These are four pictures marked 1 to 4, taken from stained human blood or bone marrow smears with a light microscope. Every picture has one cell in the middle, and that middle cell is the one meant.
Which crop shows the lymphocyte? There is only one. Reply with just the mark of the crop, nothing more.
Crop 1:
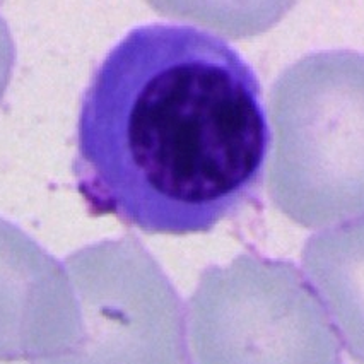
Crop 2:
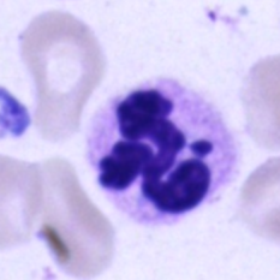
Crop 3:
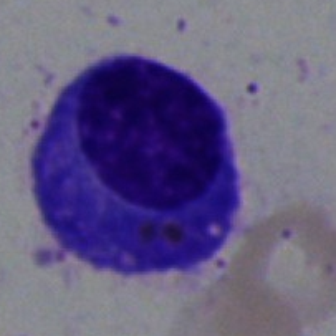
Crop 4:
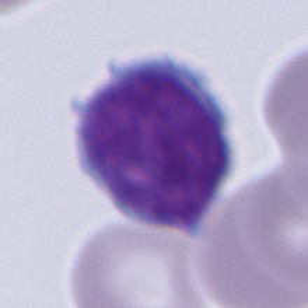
4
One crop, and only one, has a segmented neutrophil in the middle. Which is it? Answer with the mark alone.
2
